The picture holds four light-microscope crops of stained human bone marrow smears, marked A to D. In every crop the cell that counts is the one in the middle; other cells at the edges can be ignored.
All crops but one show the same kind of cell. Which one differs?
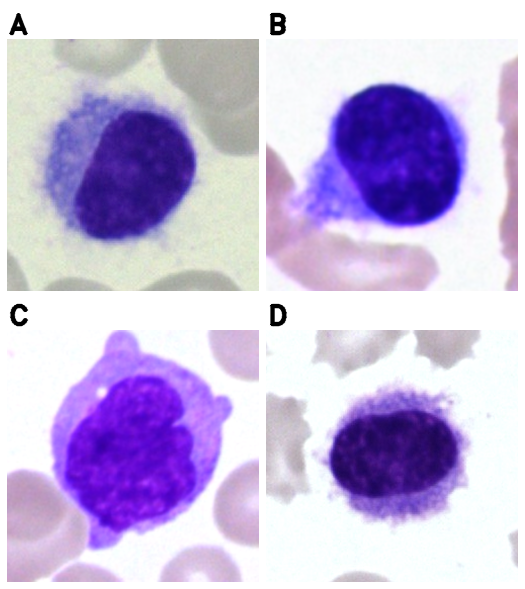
C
